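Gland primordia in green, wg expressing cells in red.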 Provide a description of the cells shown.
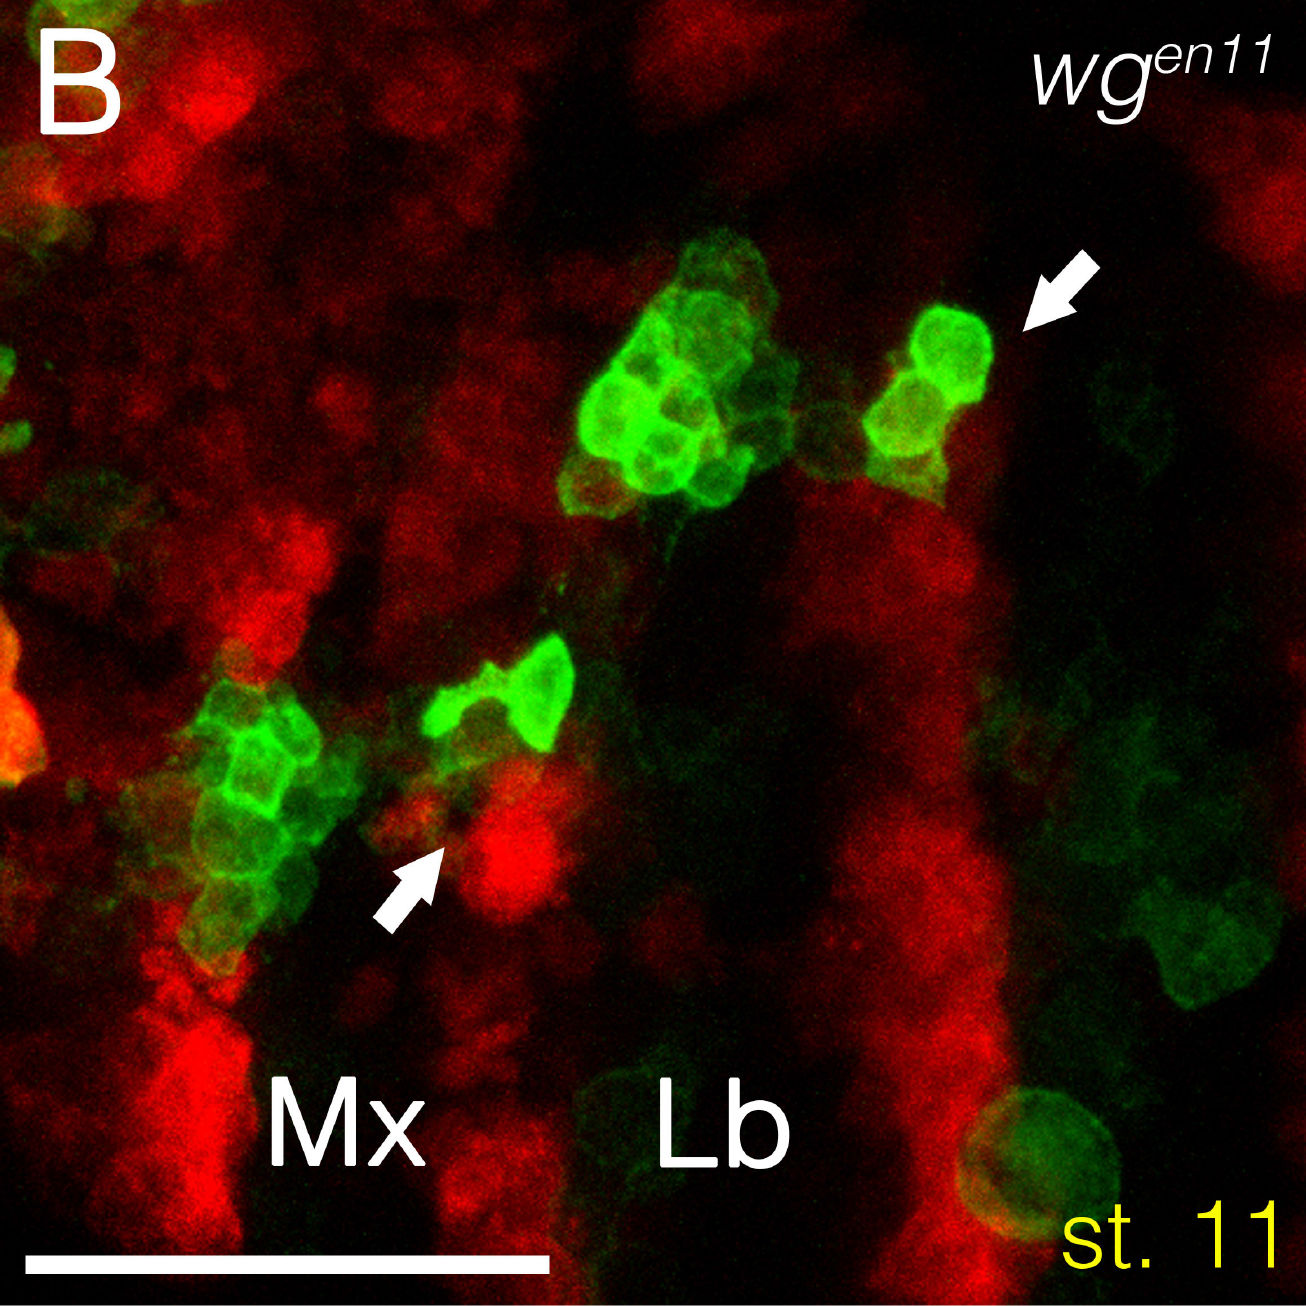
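Red stripes of cells run through the head segments, and green cells form larger clusters with smaller green patches lying beside them, directly against the red stripes. The smaller patches lie at about the same height as the larger clusters.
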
